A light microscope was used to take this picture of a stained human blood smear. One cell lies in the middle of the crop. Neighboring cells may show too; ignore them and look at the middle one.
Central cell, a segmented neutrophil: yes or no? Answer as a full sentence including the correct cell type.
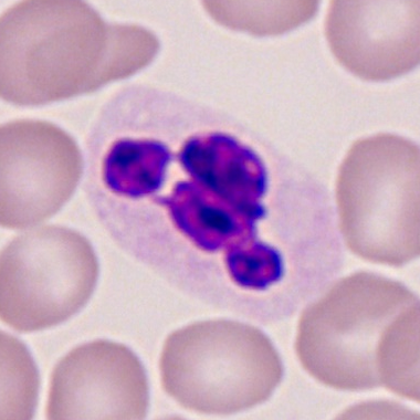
Yes, what sits in the centre of the crop is a segmented neutrophil.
